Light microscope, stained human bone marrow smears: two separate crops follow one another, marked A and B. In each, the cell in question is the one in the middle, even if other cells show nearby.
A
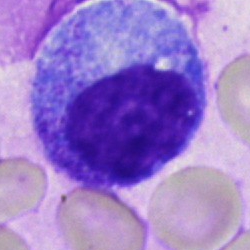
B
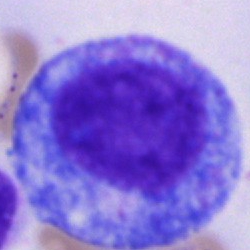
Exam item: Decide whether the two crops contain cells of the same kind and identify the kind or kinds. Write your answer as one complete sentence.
Yes, both crops show promyelocytes, and that holds for each one.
